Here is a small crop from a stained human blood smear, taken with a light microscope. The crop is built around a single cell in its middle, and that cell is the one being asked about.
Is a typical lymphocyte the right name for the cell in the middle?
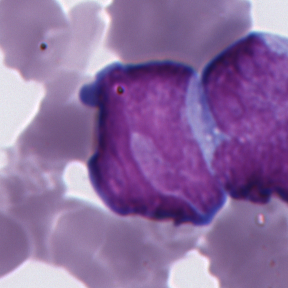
no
